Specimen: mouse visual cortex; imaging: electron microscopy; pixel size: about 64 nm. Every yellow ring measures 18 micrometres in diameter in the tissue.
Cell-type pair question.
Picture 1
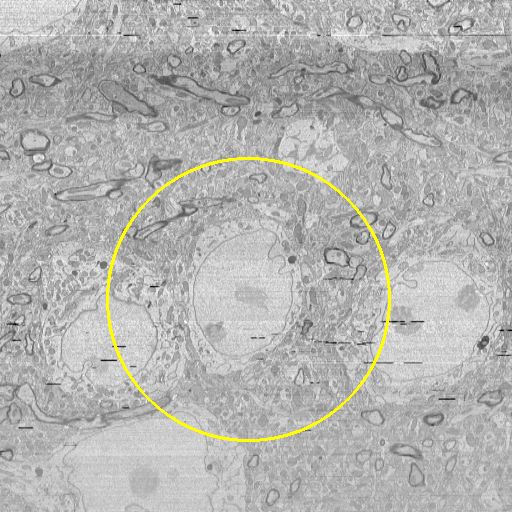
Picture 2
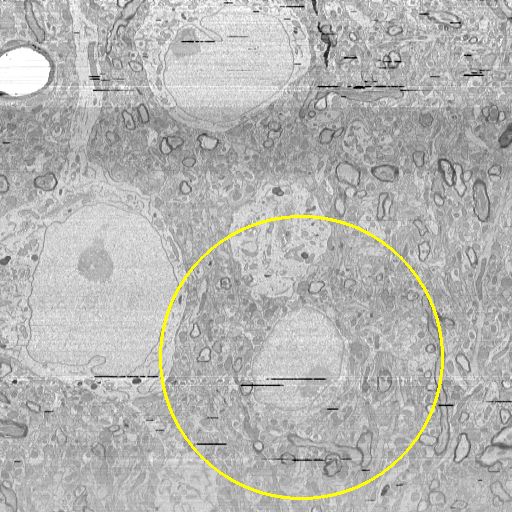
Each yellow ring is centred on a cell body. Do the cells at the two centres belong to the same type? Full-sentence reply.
No, the two cells belong to two types.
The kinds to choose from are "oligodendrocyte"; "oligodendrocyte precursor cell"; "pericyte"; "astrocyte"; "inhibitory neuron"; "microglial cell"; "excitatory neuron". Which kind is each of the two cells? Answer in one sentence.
Of the two, the first cell is an excitatory neuron and the second cell is an astrocyte.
